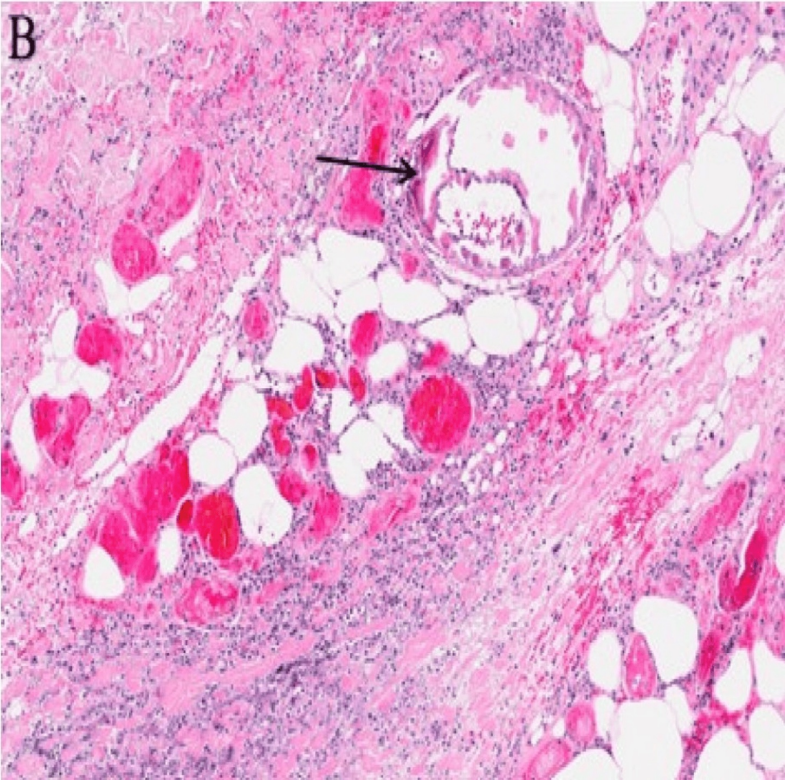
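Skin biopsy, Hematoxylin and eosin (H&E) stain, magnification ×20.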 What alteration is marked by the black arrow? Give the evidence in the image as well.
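Calciphylaxis involving the subcutaneous fat. The arrow points to a small round vessel with a thickened wall. The vessel sits among empty round fat cells. Dark purple material lines part of the vessel wall.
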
